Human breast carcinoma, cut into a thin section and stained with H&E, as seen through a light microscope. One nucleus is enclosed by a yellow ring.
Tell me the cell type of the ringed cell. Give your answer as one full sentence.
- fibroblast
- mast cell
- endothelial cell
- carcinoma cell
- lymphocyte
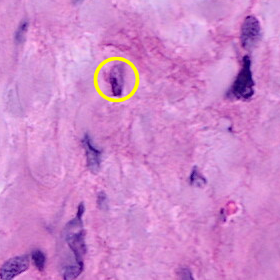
Speaking plainly, the ringed cell is nothing other than a fibroblast.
